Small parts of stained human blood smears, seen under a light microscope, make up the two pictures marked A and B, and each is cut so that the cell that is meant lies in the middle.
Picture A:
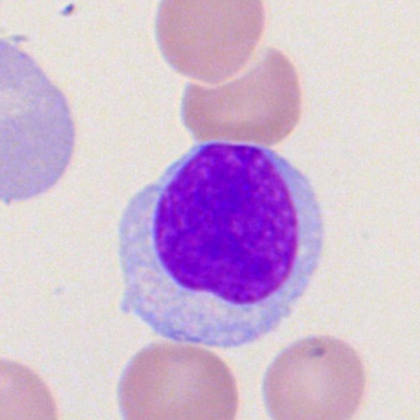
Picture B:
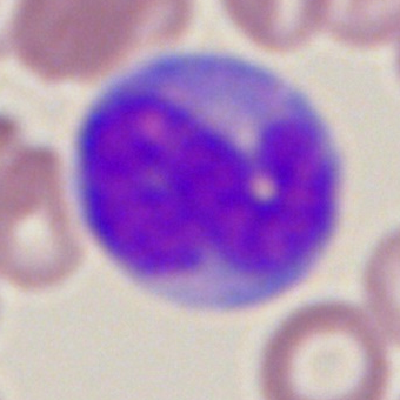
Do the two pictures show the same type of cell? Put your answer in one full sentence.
No, they differ: the cell is a lymphocyte in picture A and a monocyte in picture B.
